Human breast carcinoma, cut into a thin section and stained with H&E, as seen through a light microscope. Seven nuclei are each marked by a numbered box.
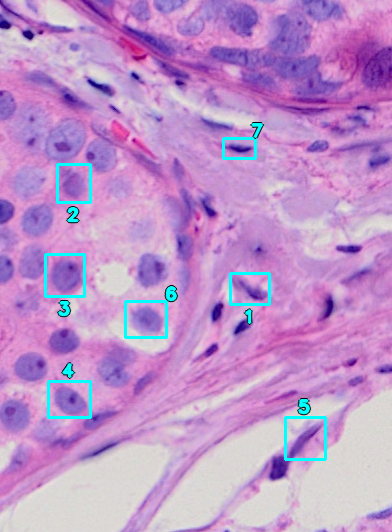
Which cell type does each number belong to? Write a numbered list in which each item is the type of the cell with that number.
1. fibroblast
2. carcinoma cell
3. carcinoma cell
4. carcinoma cell
5. fibroblast
6. carcinoma cell
7. fibroblast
